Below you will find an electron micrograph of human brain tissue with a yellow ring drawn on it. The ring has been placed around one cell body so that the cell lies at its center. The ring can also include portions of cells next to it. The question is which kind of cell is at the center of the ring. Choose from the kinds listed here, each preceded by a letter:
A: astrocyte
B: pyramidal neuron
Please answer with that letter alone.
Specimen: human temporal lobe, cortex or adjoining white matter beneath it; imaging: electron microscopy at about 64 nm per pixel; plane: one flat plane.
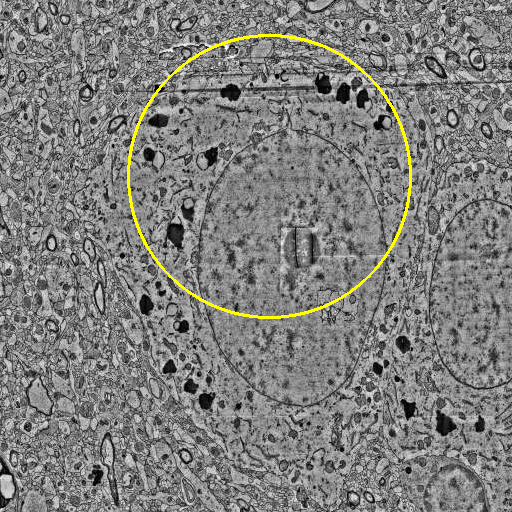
B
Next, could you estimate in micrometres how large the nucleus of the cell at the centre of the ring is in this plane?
The nucleus appears roughly 18 by 12 micrometres in this plane.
